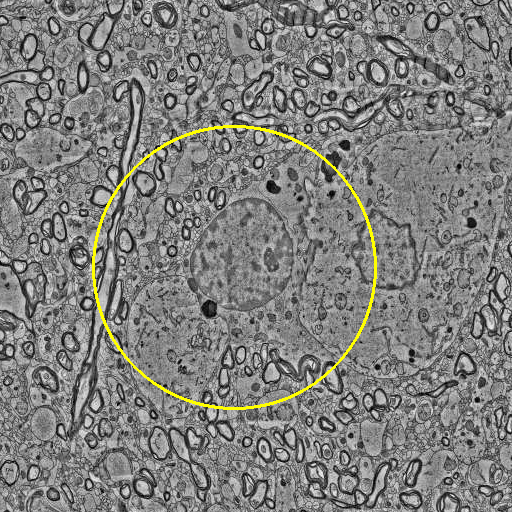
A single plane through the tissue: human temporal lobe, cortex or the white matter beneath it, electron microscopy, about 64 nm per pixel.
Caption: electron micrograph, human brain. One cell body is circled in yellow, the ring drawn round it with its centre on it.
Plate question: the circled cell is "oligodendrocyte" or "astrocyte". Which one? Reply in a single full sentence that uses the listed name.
The yellow ring on the plate is centred on an oligodendrocyte, going by the listed names.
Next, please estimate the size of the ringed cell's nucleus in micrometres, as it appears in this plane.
Approximately 8 x 6 micrometres in this plane.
